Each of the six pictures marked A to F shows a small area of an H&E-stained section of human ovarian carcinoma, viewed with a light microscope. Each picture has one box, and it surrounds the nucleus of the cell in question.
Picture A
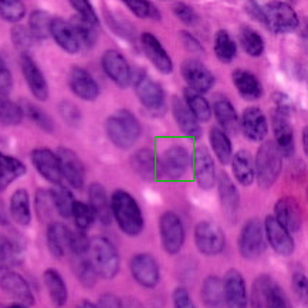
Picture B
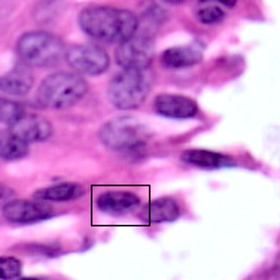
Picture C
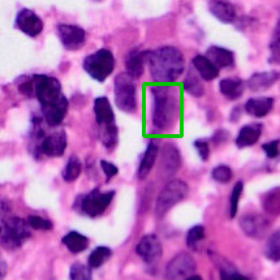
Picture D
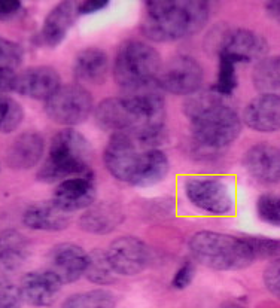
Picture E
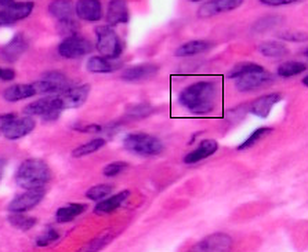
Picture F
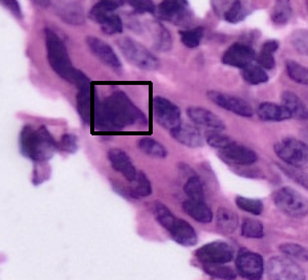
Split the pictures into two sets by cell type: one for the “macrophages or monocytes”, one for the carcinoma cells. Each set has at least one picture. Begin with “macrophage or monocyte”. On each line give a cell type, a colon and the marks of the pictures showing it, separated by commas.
macrophage or monocyte: B, D, E
carcinoma cell: A, C, F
